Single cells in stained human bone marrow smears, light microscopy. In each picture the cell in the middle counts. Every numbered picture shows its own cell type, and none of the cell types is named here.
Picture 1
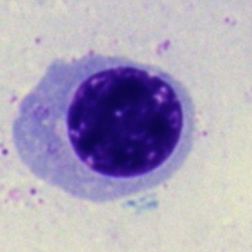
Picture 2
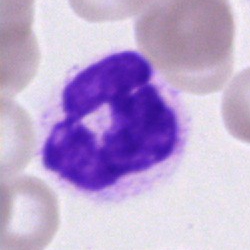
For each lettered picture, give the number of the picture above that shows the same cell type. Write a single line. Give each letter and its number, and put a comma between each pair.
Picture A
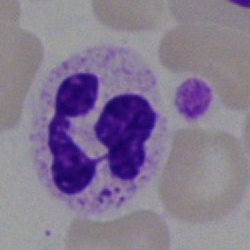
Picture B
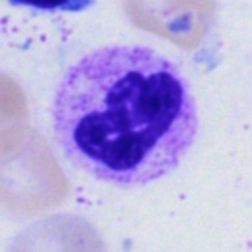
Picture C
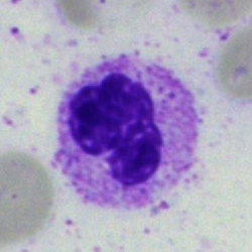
A 2, B 2, C 2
